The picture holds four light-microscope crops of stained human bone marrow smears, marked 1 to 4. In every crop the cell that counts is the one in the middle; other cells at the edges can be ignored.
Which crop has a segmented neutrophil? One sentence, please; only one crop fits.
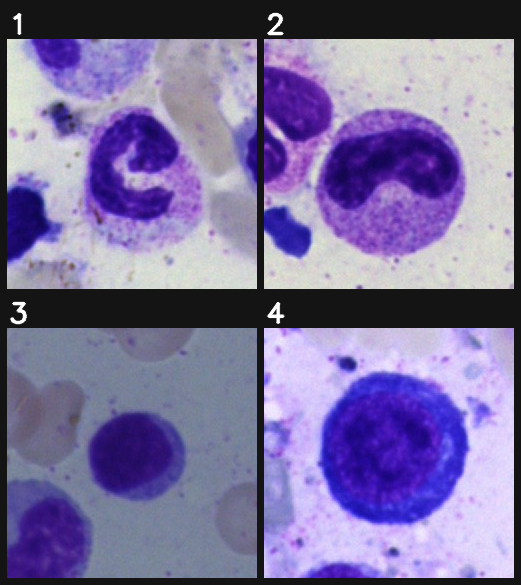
Within this set, crop 1 is the one with a segmented neutrophil at its center.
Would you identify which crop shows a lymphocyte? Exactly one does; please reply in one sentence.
Crop 3 is the one in this set that shows a lymphocyte.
